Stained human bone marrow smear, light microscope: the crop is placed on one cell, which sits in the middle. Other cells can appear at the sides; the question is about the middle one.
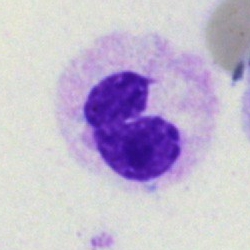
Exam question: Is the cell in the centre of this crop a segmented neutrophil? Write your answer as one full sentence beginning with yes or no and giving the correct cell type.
Yes, the cell located at the center is a segmented neutrophil.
